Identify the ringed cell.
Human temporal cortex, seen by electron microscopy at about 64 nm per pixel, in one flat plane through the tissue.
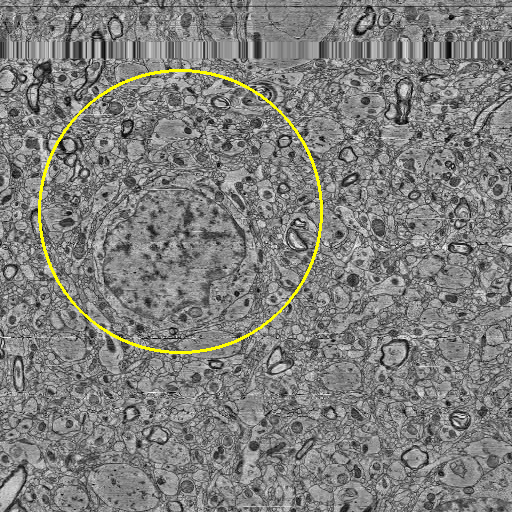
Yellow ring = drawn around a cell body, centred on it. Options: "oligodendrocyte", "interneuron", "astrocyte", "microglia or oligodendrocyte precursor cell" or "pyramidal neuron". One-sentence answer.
What the ring is centred on is an interneuron.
